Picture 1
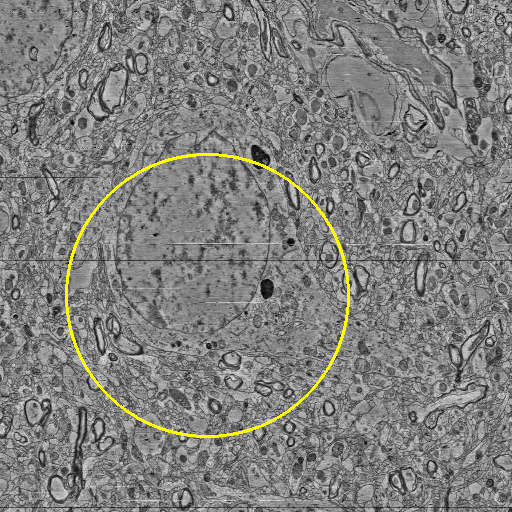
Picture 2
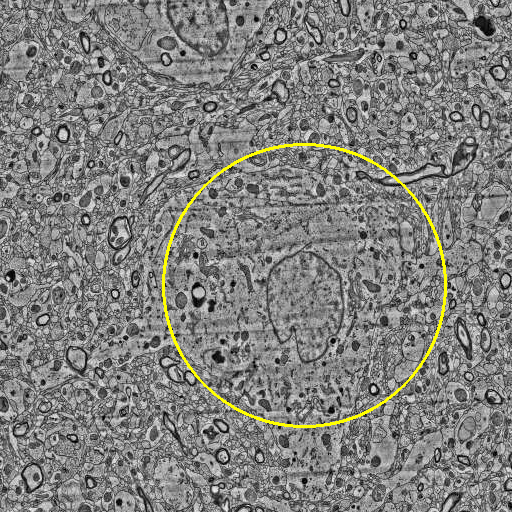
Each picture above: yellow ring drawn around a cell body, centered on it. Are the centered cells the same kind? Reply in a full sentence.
Yes, the two cells are the same kind.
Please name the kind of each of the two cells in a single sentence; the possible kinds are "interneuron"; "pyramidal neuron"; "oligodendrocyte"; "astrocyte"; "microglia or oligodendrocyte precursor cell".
The first and the second cell are each a pyramidal neuron.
